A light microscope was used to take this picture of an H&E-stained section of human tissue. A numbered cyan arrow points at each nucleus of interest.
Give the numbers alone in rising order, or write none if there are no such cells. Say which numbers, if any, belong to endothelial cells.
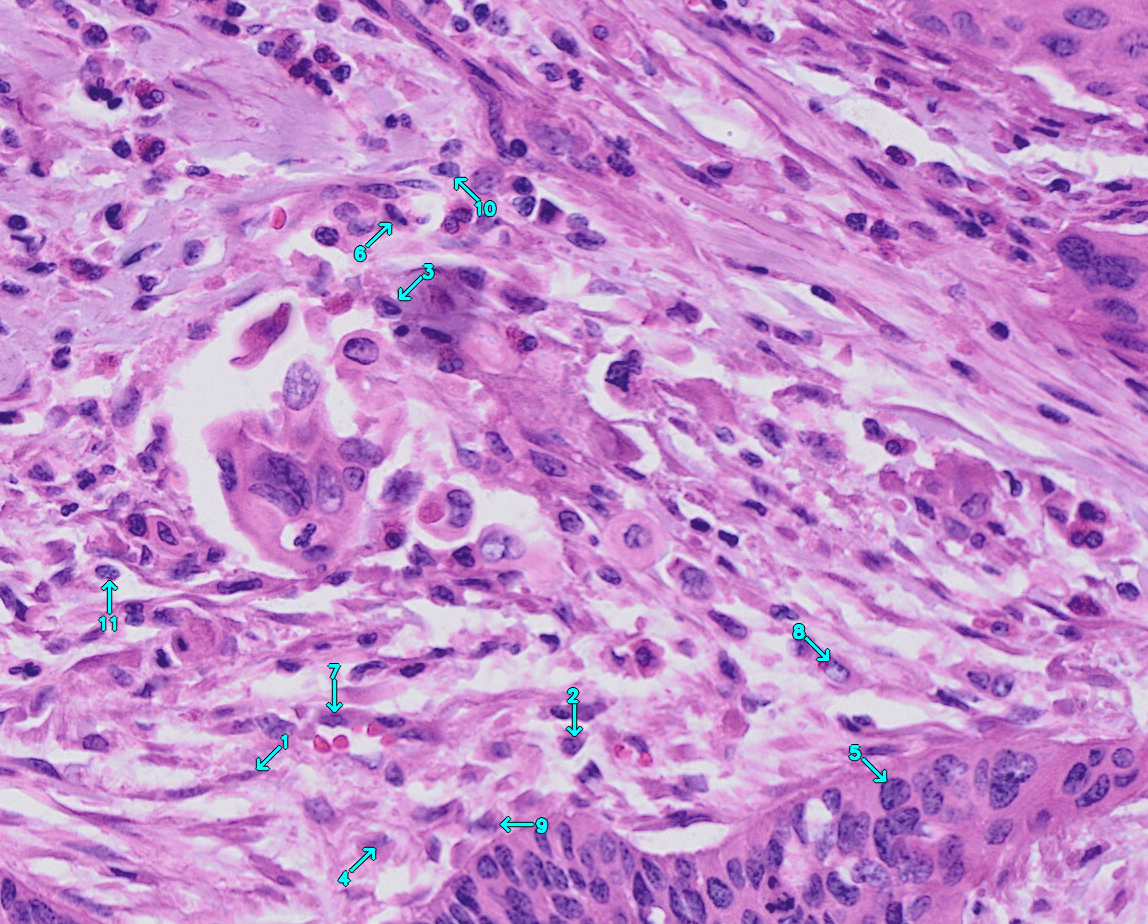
7, 8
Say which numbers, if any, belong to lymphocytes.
10, 11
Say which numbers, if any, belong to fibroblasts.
1, 4, 9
